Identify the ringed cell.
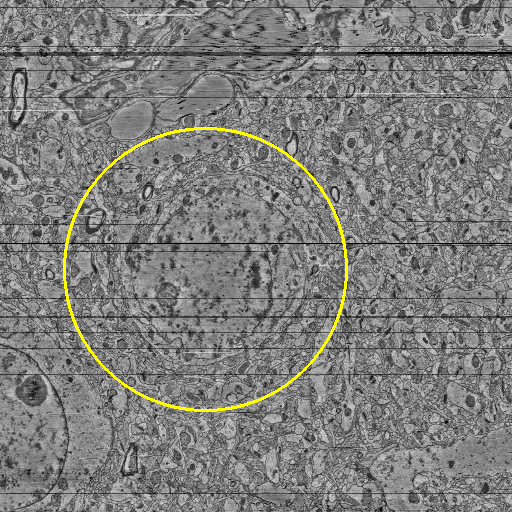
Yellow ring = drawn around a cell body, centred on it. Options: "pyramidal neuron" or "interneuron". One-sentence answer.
What the ring is centred on is an interneuron.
